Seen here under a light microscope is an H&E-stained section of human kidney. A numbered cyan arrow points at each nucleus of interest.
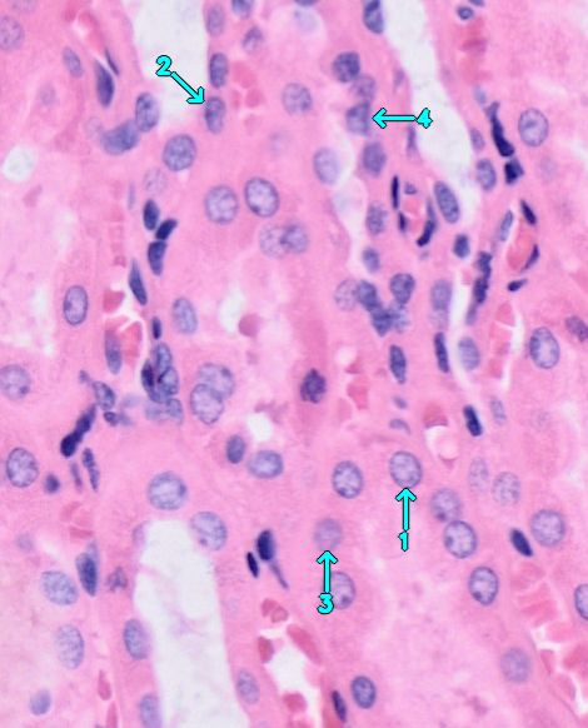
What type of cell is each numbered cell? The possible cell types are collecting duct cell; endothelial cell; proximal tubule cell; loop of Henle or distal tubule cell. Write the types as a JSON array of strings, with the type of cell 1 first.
["proximal tubule cell", "loop of Henle or distal tubule cell", "proximal tubule cell", "loop of Henle or distal tubule cell"]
